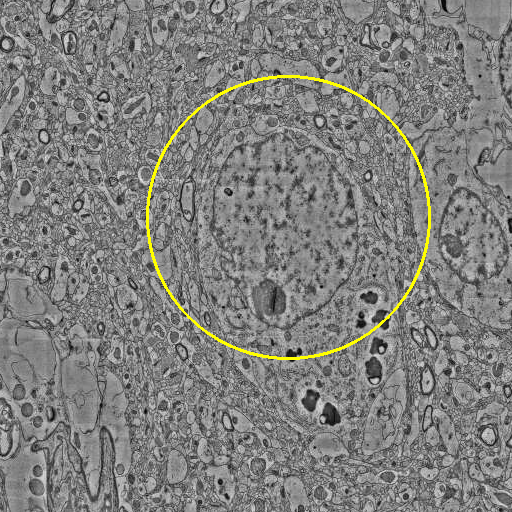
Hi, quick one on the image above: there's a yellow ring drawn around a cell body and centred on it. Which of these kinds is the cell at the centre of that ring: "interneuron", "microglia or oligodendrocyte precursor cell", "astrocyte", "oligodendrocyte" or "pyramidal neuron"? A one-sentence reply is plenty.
The cell at the centre of the ring is an interneuron.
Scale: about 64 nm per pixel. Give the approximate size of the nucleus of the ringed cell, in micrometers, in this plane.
Roughly 12 micrometres by 9 micrometres, in this plane.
